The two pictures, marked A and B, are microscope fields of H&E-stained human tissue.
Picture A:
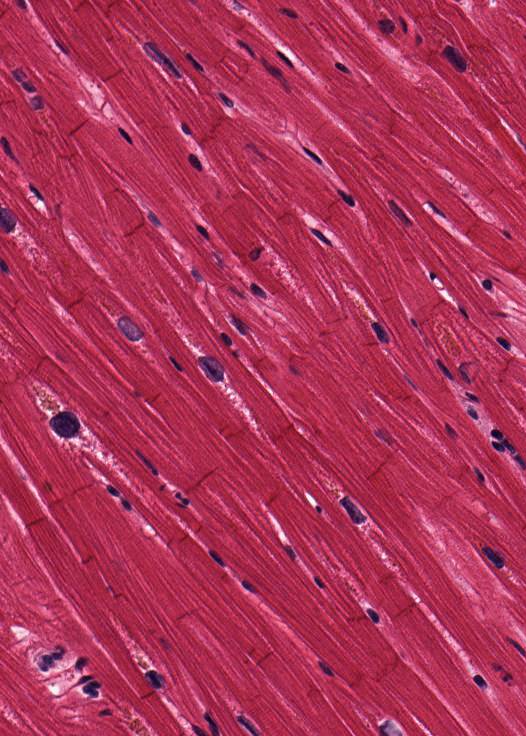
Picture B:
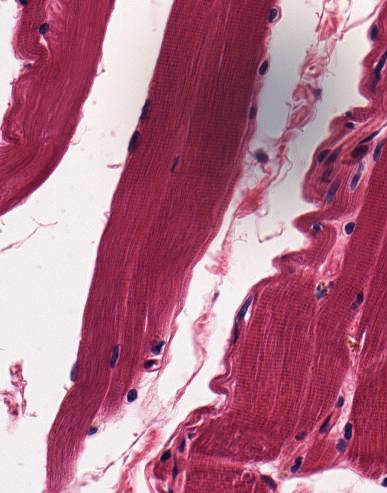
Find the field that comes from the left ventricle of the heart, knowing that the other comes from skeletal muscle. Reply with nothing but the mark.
A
